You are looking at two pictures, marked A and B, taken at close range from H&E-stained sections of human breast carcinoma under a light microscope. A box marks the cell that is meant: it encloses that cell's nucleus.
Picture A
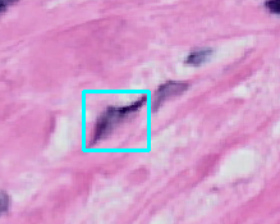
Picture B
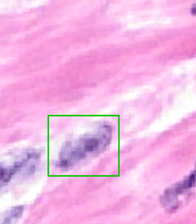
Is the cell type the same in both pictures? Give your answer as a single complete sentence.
Yes, they are the same type: both are fibroblasts.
